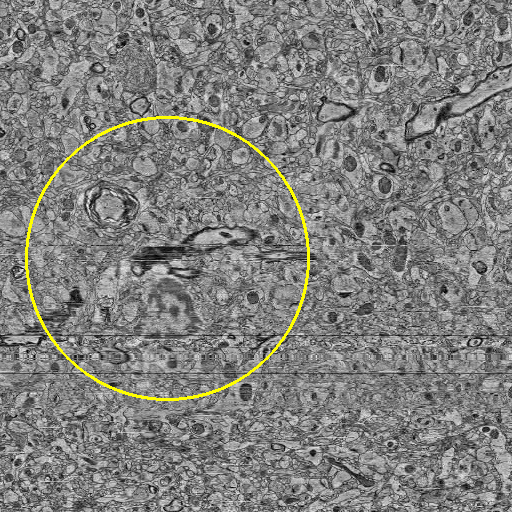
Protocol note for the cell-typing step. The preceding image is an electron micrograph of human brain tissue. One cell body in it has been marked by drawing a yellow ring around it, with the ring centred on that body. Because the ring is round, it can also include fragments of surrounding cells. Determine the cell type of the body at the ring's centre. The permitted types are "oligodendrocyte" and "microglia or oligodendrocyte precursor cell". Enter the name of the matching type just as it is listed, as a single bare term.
microglia or oligodendrocyte precursor cell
